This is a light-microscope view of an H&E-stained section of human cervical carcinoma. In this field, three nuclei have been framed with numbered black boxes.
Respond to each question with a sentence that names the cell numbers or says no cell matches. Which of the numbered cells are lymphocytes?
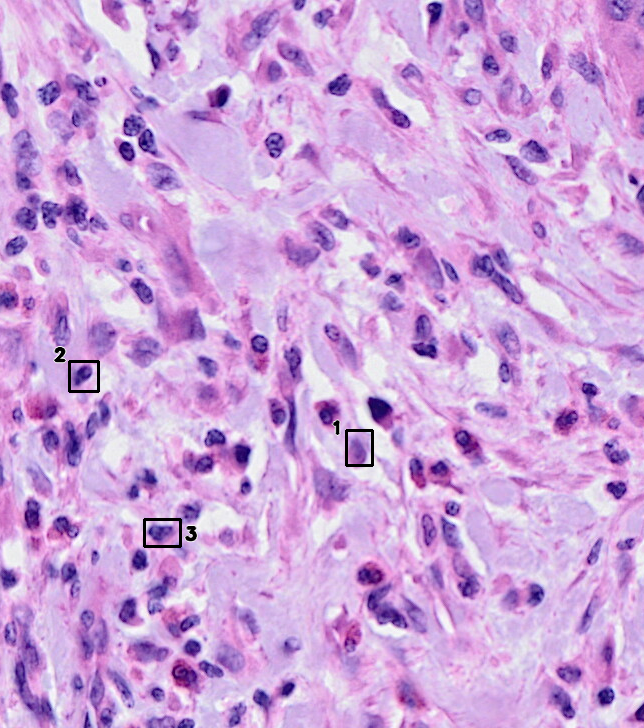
The cells given the numbers 2 and 3 are lymphocytes.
